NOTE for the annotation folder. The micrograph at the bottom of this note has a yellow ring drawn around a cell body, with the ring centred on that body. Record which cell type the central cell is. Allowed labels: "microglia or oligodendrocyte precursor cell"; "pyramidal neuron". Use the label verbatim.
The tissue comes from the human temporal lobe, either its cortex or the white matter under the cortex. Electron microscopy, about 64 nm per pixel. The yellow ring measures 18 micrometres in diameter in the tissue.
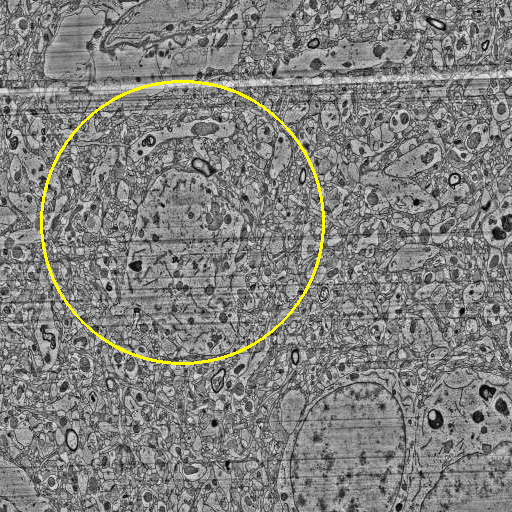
pyramidal neuron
